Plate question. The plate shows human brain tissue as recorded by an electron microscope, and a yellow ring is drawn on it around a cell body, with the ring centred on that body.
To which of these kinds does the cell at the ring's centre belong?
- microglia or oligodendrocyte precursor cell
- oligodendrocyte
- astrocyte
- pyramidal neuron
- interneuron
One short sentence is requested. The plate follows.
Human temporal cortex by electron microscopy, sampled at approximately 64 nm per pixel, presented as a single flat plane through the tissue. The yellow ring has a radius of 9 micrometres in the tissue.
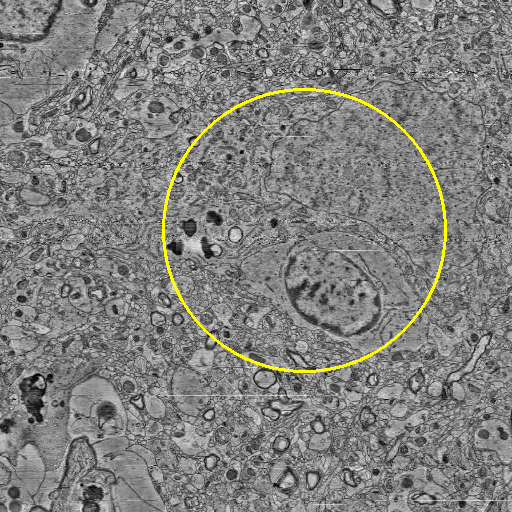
The cell at the ring's centre is a pyramidal neuron.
